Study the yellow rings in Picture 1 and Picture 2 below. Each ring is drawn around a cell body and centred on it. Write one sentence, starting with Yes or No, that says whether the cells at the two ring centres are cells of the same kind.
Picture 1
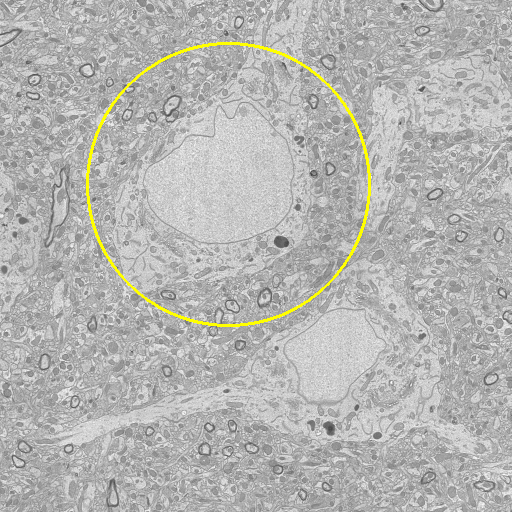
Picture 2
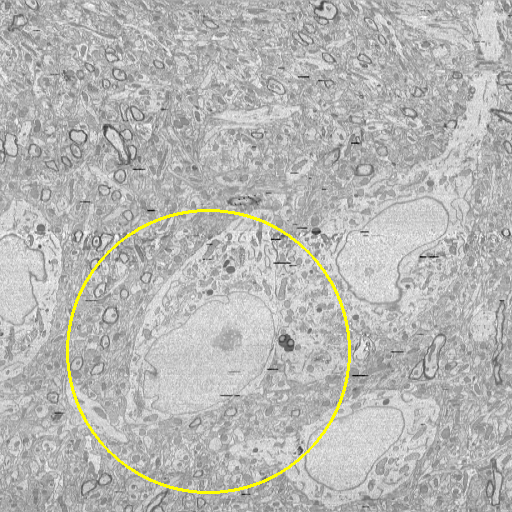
No, the cells at the ring centres are of two kinds.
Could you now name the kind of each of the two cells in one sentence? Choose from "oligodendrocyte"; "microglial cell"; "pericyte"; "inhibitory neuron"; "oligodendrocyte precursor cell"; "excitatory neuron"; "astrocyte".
The first ring encloses an excitatory neuron; the second ring encloses an inhibitory neuron.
